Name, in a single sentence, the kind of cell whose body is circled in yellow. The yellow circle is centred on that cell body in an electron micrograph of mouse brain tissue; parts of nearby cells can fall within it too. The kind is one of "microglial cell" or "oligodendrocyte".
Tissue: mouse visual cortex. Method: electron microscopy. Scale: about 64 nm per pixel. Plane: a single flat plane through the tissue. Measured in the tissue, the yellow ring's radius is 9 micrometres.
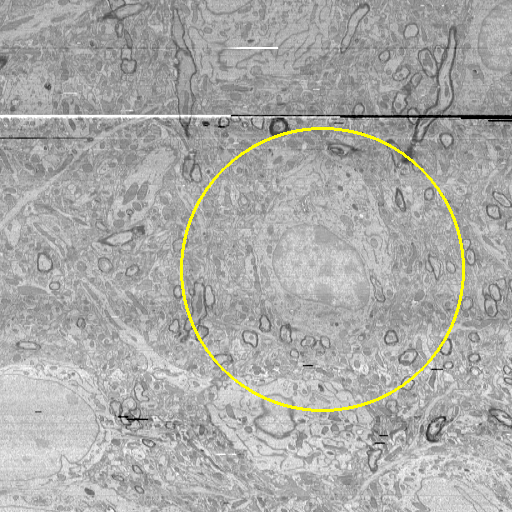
The circled cell body belongs to an oligodendrocyte.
